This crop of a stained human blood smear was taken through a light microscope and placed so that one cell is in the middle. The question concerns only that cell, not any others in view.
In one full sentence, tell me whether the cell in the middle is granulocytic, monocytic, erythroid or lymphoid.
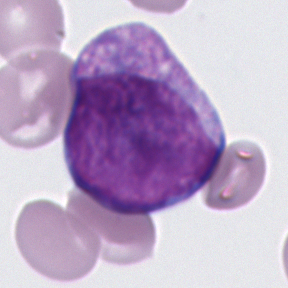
Of the possible lineages, the central cell belongs to the granulocytic lineage.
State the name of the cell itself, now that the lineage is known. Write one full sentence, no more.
In this crop, the cell at the very middle is an atypical promyelocyte.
